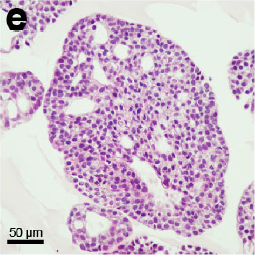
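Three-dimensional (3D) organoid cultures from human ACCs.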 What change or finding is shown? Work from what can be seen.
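A solid nest of small, densely packed cells with dark nuclei. The nest is pierced by several small round spaces, giving a sieve-like pattern. The answer: cribriform histology.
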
